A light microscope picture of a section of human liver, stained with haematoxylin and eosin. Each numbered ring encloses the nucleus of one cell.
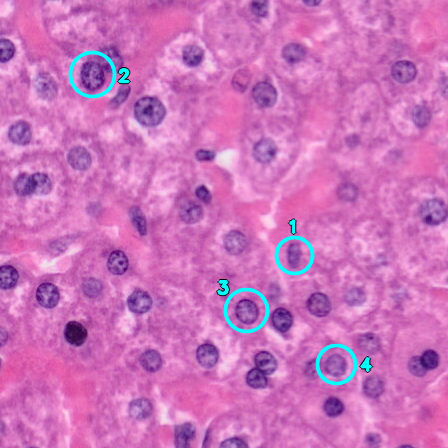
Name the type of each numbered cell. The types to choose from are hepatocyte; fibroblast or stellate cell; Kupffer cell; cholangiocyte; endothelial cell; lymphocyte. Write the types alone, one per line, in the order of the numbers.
fibroblast or stellate cell
hepatocyte
hepatocyte
hepatocyte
